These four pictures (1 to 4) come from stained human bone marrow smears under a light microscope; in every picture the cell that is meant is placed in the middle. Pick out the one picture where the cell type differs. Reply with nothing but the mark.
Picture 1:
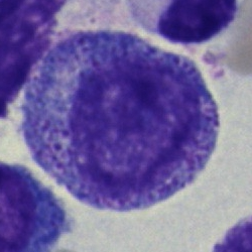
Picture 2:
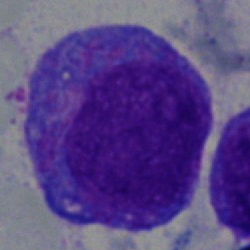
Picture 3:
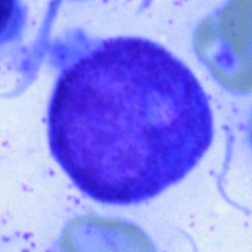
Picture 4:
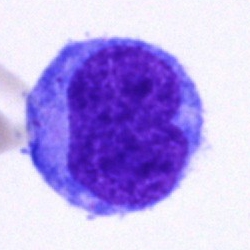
4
